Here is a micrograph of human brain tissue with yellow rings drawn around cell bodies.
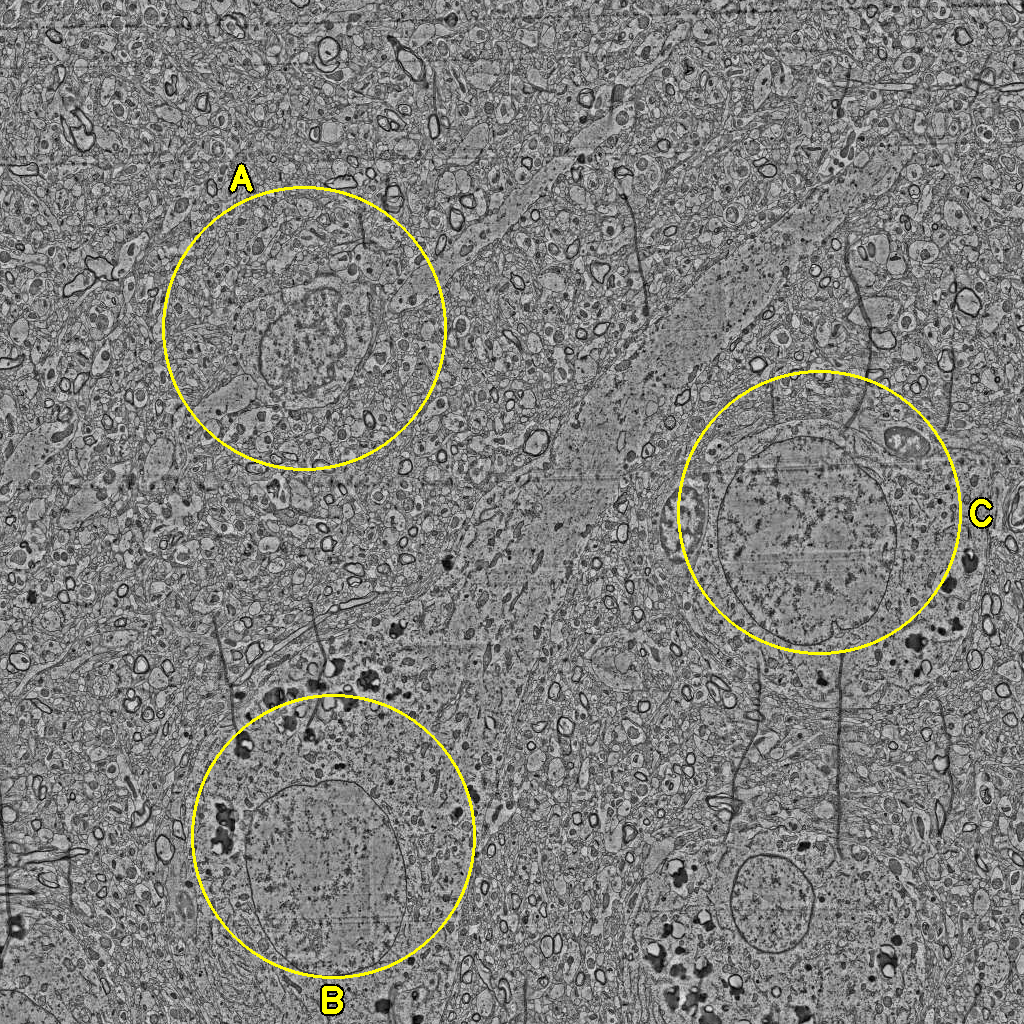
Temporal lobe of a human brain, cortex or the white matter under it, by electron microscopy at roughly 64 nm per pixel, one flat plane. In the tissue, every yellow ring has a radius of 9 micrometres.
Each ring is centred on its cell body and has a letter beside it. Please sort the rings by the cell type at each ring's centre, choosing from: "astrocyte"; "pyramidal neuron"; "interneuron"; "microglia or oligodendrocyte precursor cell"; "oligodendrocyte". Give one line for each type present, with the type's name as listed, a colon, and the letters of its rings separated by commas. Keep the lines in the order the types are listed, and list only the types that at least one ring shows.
pyramidal neuron: B, C
interneuron: A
